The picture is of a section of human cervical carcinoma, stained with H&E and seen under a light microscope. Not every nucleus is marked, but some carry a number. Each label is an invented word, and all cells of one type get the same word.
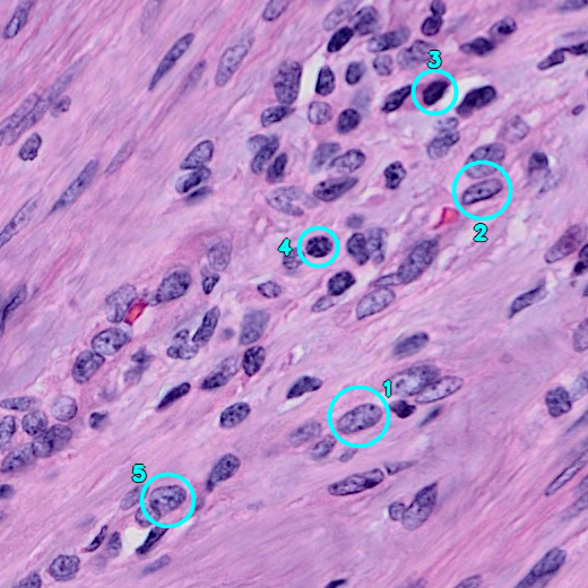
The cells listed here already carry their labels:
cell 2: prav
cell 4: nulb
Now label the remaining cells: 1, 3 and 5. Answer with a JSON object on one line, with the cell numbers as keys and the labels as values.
{"1": "prav", "3": "nulb", "5": "prav"}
